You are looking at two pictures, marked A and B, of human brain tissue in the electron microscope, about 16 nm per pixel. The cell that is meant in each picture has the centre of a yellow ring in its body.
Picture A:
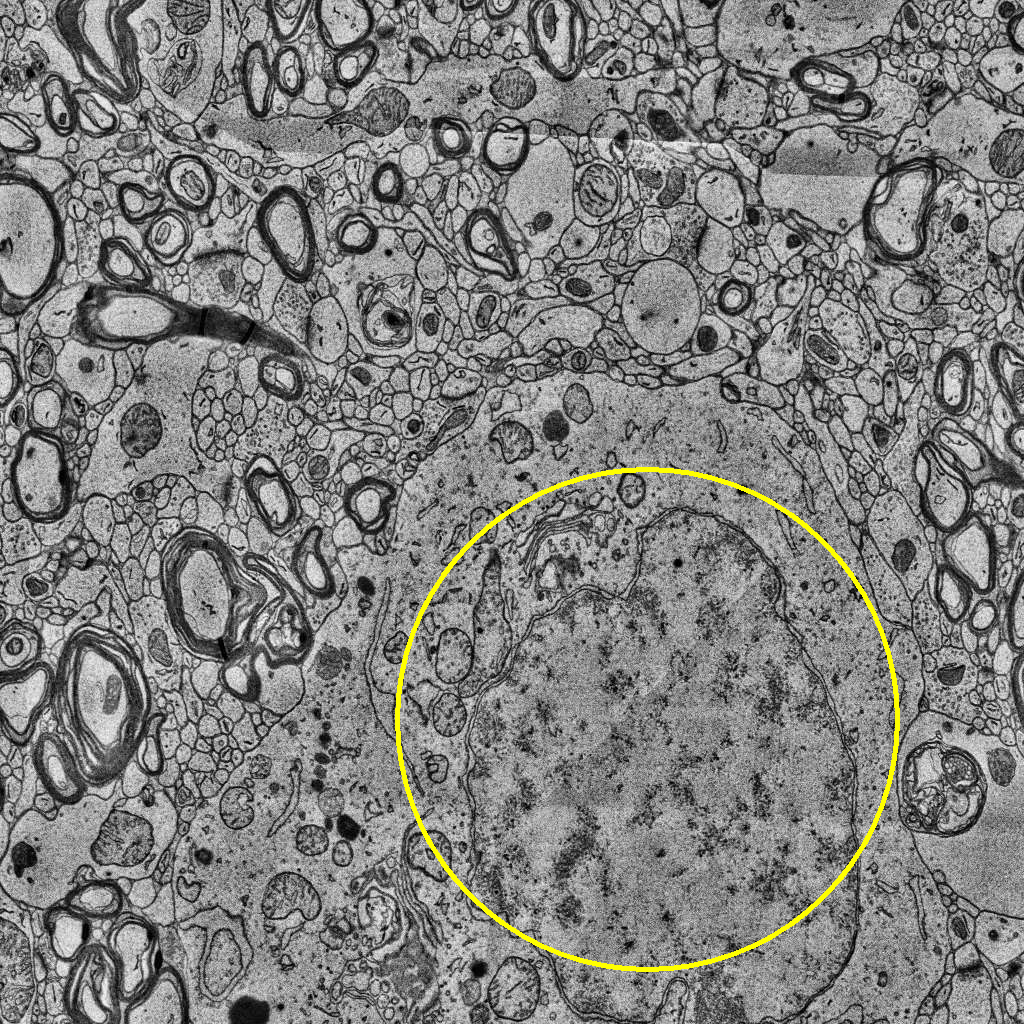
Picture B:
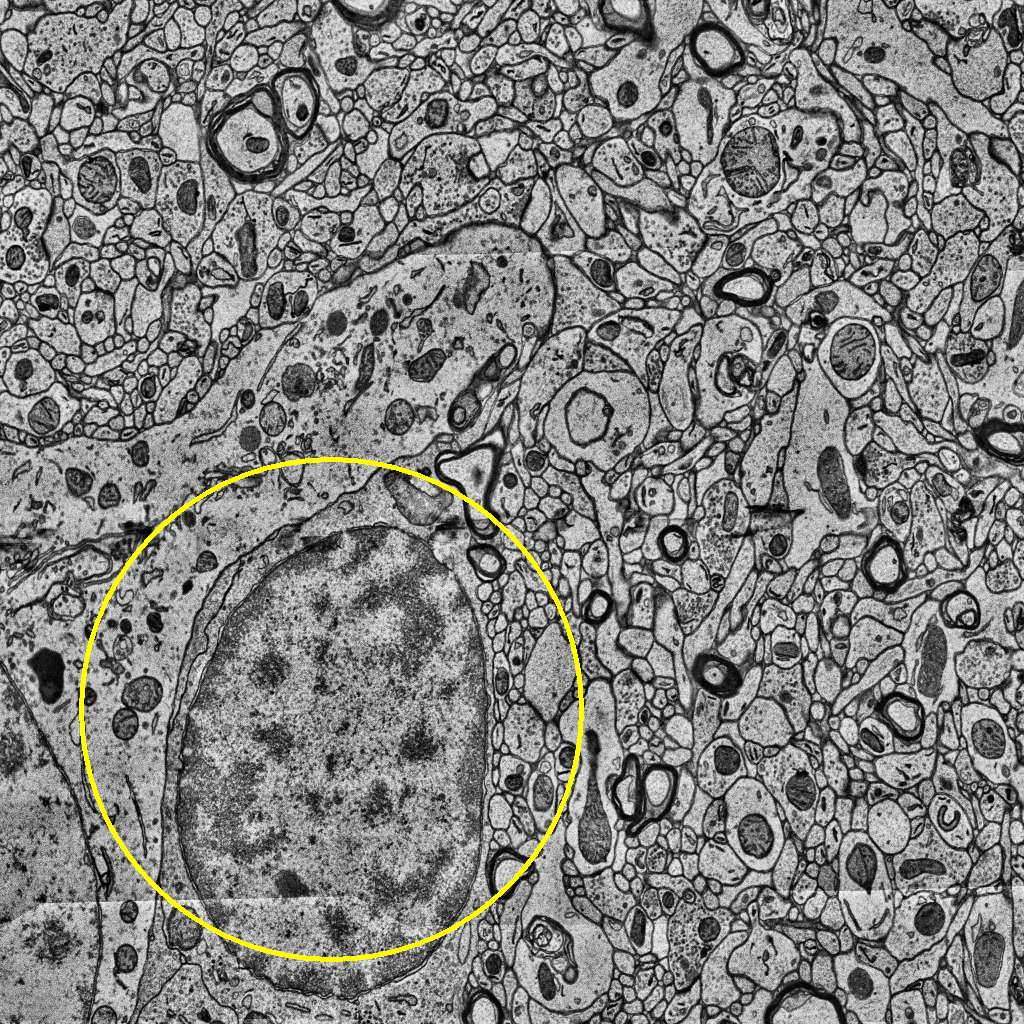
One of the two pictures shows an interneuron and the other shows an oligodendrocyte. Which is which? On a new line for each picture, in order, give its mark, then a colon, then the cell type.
A: interneuron
B: oligodendrocyte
